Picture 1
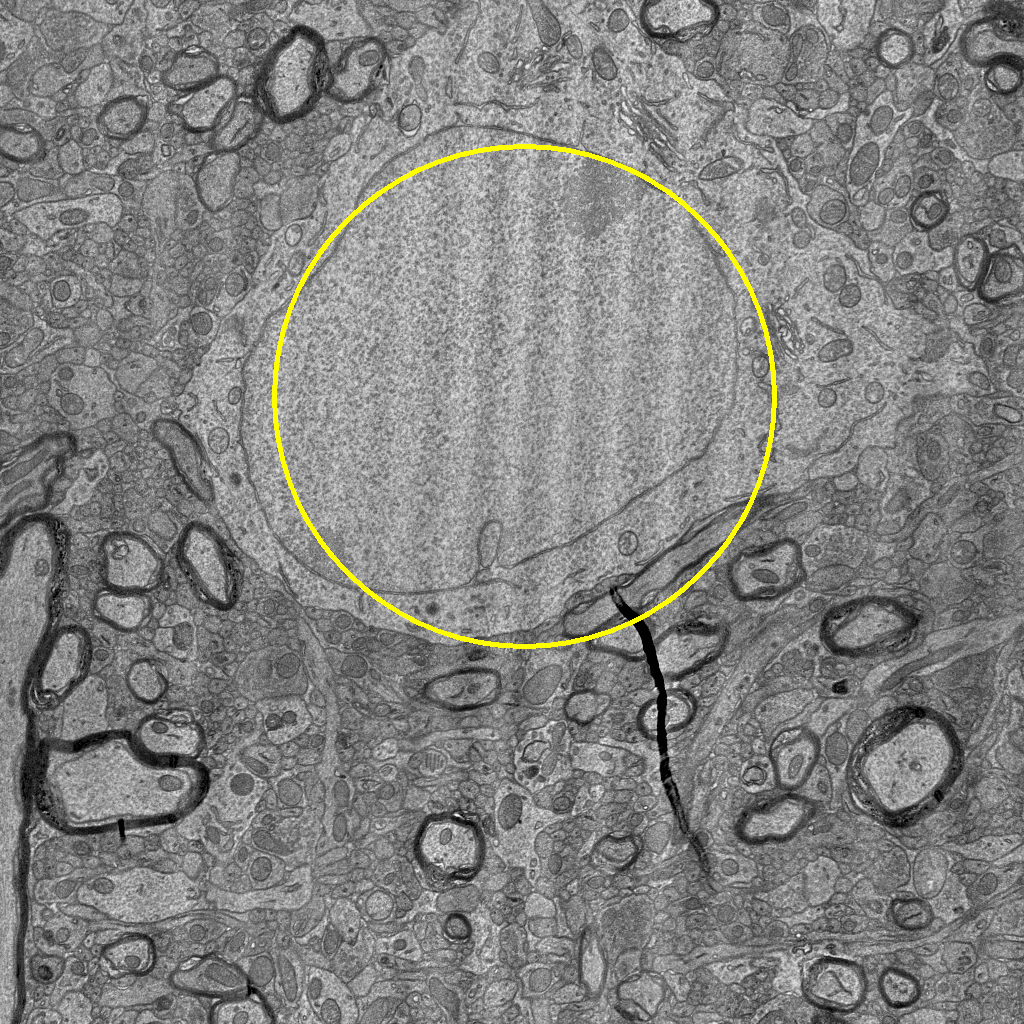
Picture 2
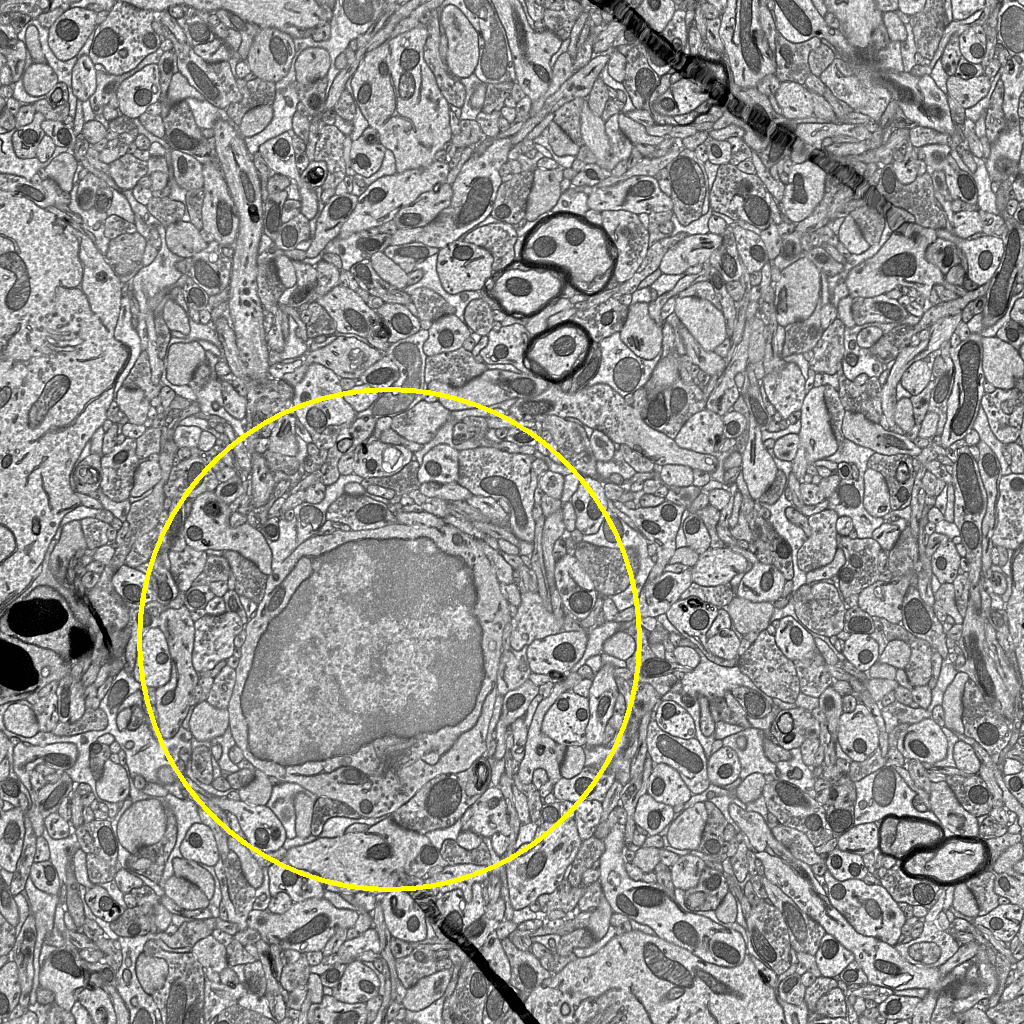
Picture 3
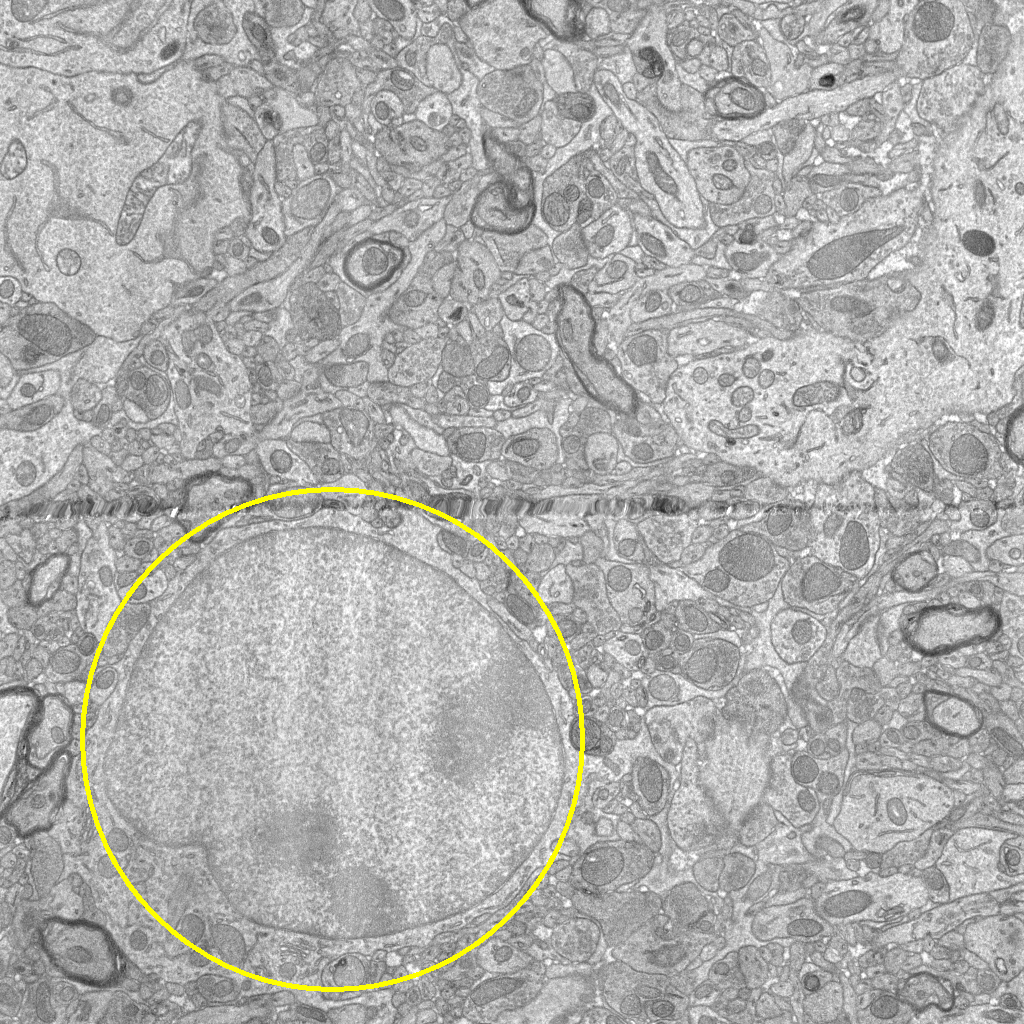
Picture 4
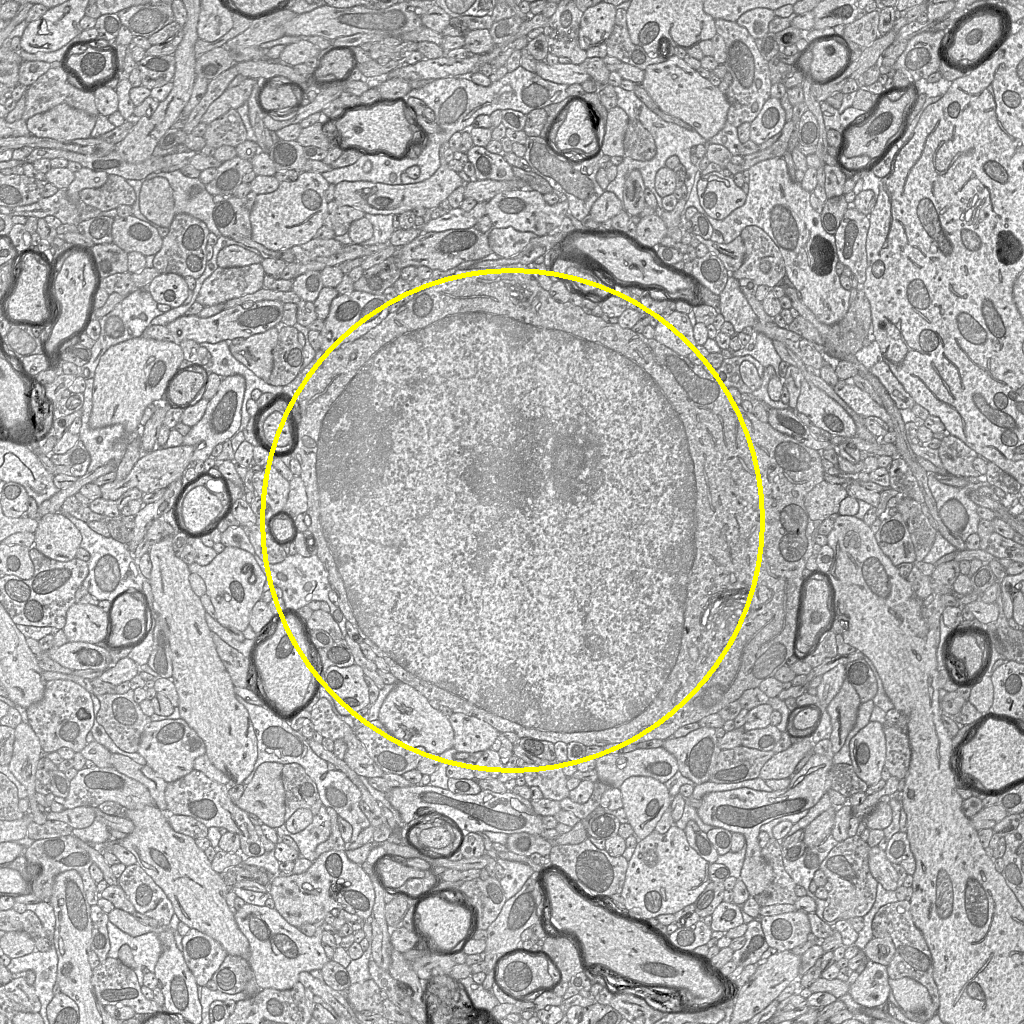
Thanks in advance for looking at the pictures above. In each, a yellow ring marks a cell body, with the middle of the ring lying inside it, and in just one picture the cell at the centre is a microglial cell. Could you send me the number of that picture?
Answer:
2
